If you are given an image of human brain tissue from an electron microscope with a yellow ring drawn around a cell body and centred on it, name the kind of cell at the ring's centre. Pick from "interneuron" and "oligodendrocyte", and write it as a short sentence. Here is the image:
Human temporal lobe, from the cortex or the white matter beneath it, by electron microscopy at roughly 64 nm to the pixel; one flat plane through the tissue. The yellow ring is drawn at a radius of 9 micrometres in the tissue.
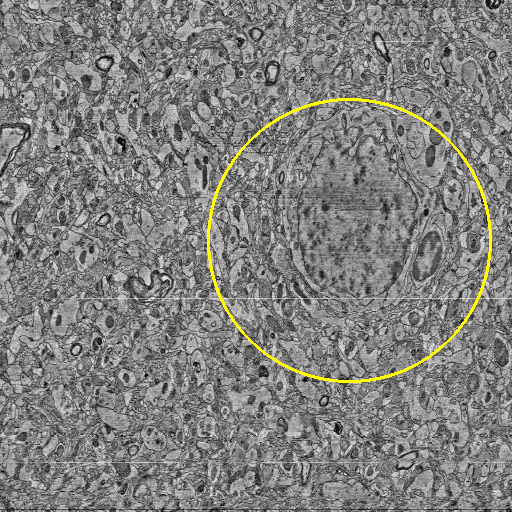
The cell at the ring's centre is an interneuron.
